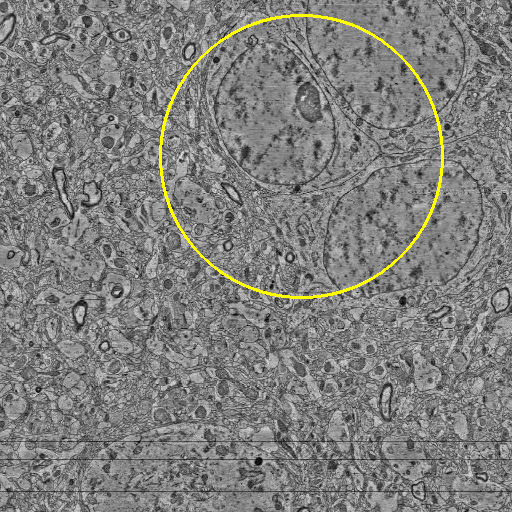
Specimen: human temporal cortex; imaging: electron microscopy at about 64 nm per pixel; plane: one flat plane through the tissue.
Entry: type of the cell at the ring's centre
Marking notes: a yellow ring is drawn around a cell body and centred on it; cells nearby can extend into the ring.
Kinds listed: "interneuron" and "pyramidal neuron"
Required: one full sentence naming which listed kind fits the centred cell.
My entry names a pyramidal neuron as the cell whose body the yellow ring centres on.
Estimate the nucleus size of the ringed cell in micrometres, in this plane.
In this plane the nucleus is about 10 micrometres by 8.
